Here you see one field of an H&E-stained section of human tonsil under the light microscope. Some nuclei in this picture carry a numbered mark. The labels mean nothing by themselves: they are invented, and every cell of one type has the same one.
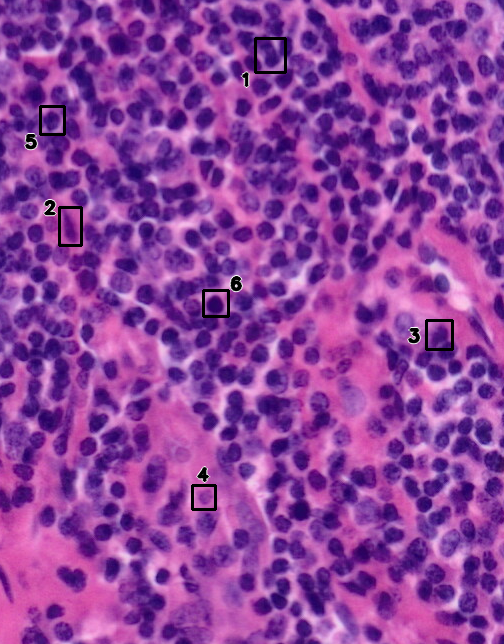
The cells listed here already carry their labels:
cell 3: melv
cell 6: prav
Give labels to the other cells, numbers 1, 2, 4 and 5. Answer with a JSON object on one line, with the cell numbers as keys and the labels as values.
{"1": "prav", "2": "melv", "4": "melv", "5": "prav"}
